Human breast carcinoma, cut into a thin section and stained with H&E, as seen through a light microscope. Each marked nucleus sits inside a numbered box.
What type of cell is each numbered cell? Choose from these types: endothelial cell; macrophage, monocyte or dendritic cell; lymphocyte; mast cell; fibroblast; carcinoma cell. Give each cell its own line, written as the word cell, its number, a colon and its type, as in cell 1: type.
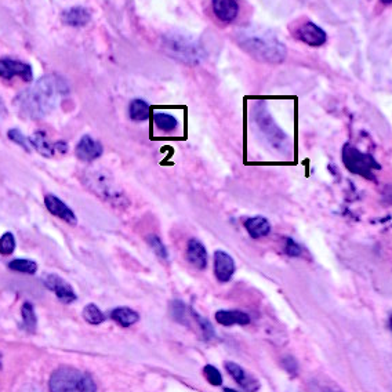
cell 1: fibroblast
cell 2: lymphocyte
